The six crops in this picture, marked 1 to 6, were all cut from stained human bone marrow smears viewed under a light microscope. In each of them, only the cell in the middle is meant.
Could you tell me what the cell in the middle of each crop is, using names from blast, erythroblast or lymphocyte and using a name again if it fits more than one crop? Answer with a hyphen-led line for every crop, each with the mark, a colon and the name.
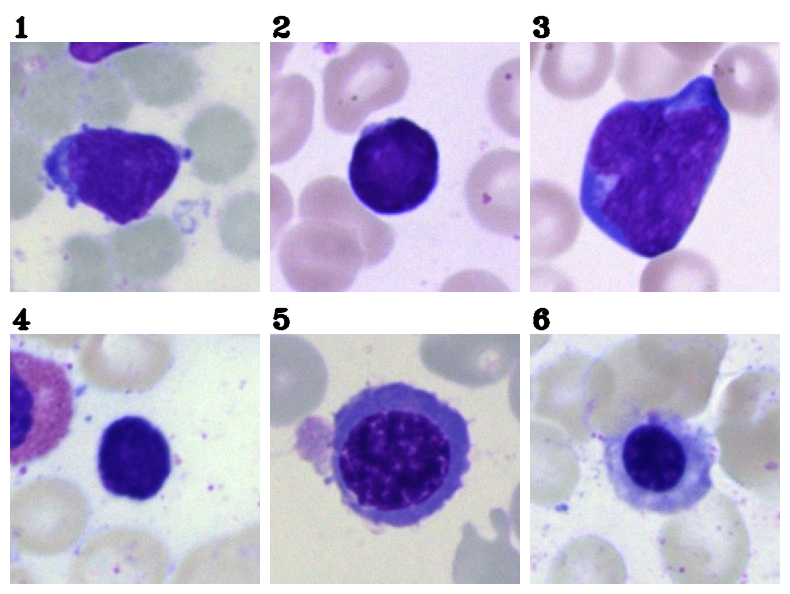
- 1: blast
- 2: lymphocyte
- 3: blast
- 4: lymphocyte
- 5: erythroblast
- 6: erythroblast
